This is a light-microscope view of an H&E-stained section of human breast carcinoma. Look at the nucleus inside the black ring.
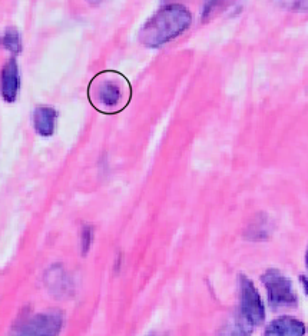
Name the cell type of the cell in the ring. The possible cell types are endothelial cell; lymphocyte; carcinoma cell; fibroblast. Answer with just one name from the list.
lymphocyte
